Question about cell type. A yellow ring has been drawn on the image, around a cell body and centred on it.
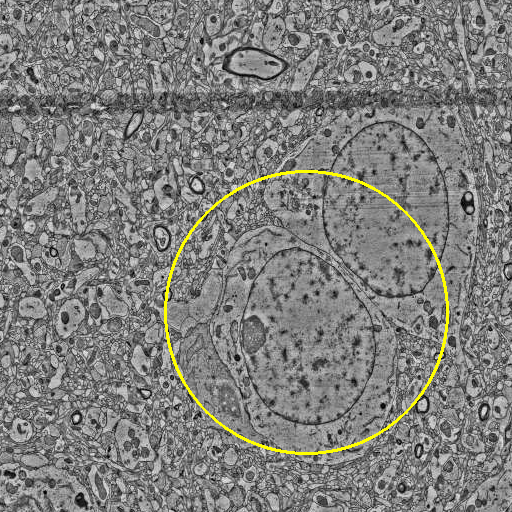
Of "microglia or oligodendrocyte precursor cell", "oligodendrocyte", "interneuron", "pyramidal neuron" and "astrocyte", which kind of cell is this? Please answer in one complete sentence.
At the centre of the ring lies a pyramidal neuron.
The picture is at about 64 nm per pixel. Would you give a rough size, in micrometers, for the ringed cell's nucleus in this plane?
About 11 by 9 micrometers, in this plane.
